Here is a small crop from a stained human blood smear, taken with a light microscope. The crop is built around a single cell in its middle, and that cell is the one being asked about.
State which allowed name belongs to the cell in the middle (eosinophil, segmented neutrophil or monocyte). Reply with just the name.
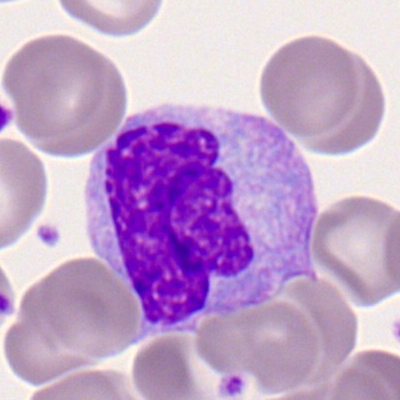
monocyte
